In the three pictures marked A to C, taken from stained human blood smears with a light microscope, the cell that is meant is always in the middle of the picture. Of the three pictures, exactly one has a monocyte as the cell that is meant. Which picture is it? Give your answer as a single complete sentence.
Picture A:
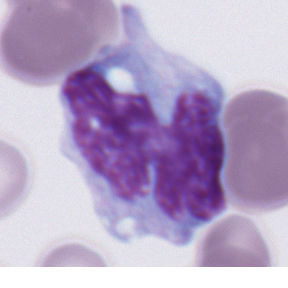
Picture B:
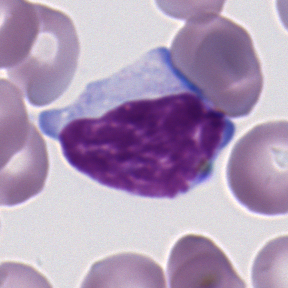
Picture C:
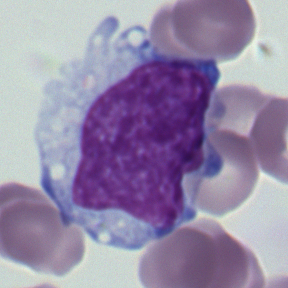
Picture A shows the monocyte.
